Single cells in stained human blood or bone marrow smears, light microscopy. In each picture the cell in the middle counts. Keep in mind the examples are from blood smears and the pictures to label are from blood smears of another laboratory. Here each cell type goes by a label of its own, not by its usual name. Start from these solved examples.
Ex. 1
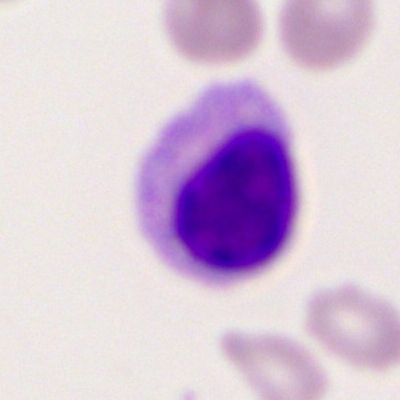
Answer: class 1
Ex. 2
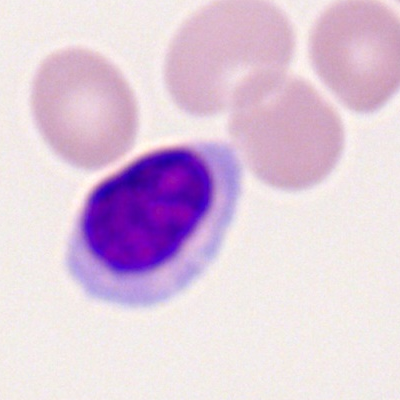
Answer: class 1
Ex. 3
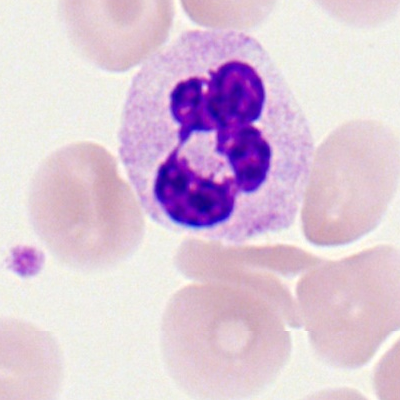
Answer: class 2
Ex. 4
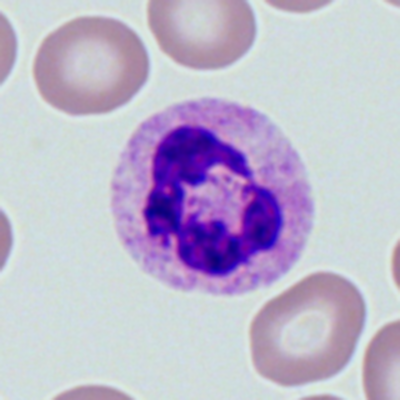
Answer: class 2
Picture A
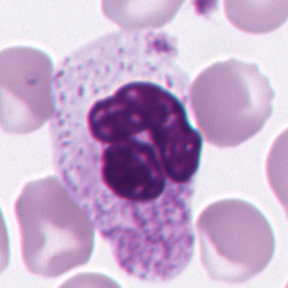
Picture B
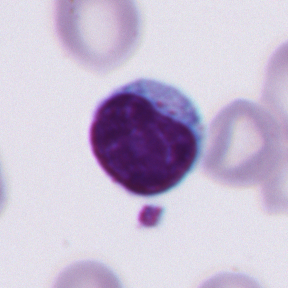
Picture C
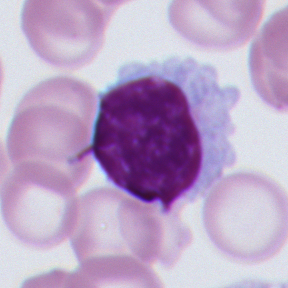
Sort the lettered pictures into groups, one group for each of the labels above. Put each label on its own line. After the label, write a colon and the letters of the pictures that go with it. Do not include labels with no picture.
class 1: B, C
class 2: A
